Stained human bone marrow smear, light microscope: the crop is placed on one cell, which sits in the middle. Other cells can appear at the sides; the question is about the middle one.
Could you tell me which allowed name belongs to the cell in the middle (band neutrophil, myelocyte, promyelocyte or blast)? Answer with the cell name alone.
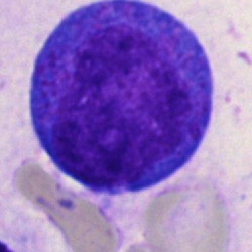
promyelocyte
